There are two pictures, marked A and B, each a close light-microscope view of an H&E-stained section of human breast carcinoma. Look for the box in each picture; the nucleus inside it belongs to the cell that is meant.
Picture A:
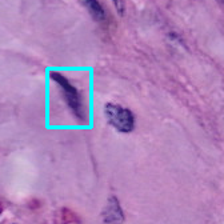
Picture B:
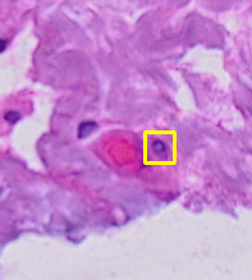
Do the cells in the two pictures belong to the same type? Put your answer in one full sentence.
No. Picture A shows a fibroblast, but picture B shows an endothelial cell.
